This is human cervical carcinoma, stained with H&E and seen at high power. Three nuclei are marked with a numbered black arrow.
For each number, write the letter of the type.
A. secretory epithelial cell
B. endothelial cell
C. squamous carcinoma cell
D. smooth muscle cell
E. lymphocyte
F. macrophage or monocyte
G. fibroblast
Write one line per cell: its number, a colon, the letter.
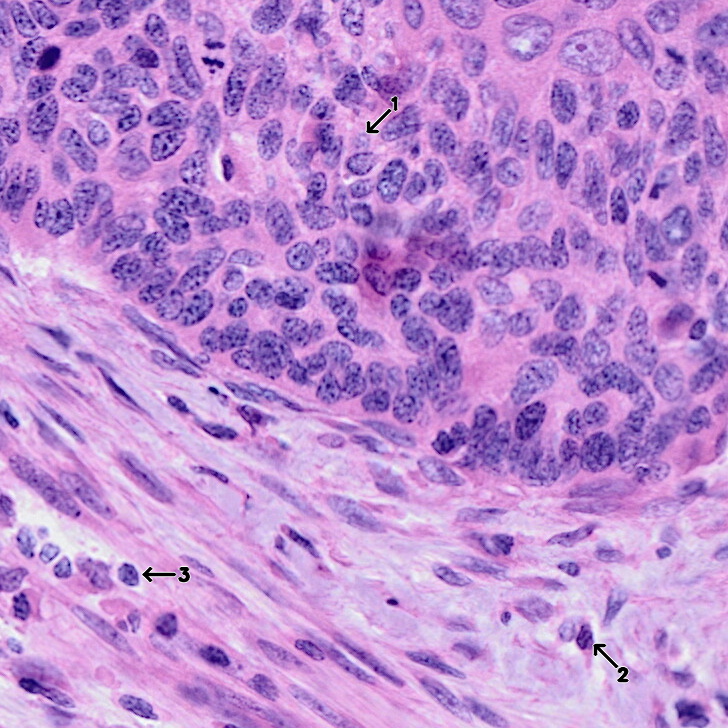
1: C
2: F
3: E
